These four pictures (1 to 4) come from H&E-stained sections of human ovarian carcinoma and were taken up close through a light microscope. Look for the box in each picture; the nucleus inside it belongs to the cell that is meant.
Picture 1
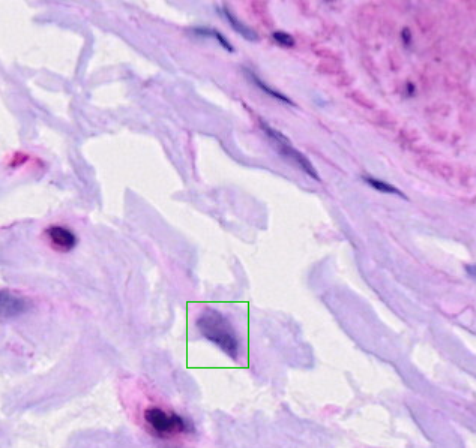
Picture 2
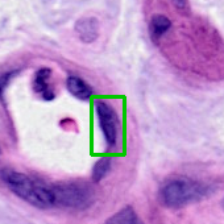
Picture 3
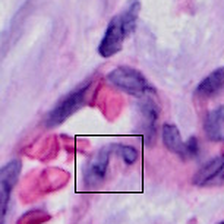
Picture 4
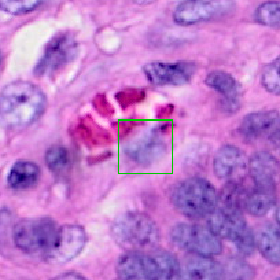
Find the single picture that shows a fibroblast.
1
